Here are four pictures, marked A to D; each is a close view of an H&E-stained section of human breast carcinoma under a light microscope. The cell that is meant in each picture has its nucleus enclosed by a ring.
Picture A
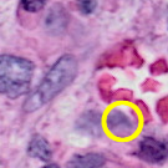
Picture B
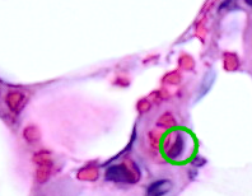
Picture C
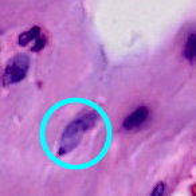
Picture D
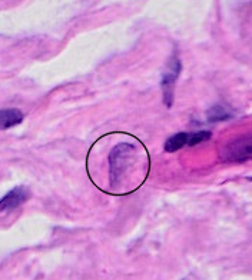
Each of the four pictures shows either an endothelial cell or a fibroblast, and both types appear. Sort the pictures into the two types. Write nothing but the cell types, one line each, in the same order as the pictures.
endothelial cell
endothelial cell
fibroblast
fibroblast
